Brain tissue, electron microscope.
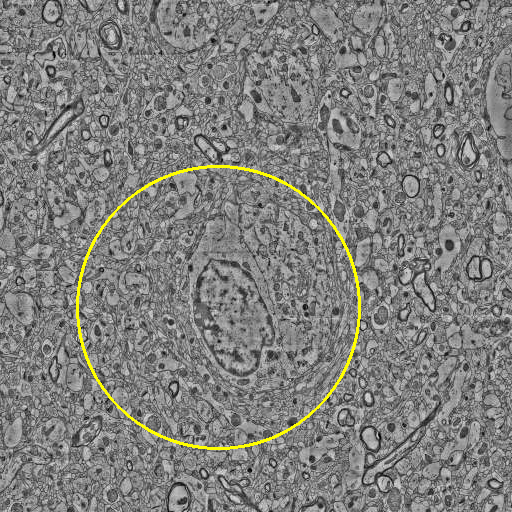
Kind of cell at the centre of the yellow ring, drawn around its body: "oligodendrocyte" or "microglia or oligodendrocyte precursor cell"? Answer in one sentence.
The ring's centre falls on a microglial cell or oligodendrocyte precursor cell.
